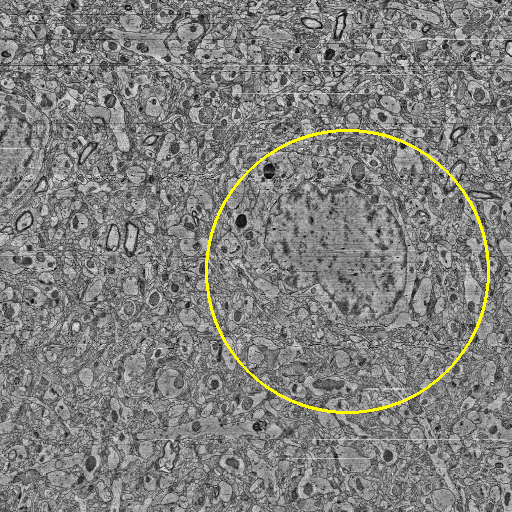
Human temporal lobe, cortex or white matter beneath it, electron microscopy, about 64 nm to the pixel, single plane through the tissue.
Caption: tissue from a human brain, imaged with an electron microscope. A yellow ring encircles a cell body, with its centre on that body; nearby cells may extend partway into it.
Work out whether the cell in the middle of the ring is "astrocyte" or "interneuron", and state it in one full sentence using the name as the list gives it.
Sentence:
In the picture, the cell that the yellow ring surrounds at its centre is an interneuron.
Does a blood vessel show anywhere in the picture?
No, no blood vessel can be seen.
